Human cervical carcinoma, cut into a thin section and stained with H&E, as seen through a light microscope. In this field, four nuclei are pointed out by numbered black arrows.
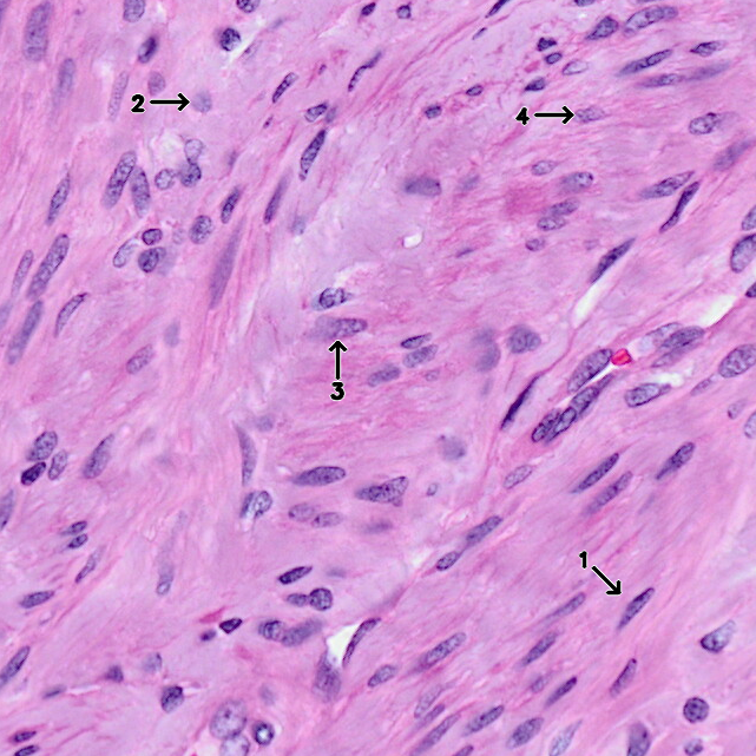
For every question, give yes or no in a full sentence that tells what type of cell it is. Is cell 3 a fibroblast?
No, a fibroblast is not what cell 3 is; it is a smooth muscle cell.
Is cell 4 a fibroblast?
No, the cell given number 4 is a smooth muscle cell, not a fibroblast.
